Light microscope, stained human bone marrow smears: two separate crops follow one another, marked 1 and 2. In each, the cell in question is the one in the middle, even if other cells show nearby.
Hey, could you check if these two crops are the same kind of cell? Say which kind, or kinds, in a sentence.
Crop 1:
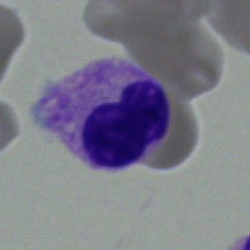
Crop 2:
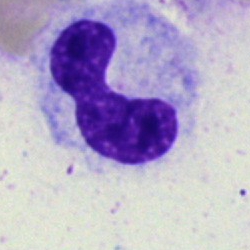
Yes, it is band neutrophils that sit at the centre of both crops.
